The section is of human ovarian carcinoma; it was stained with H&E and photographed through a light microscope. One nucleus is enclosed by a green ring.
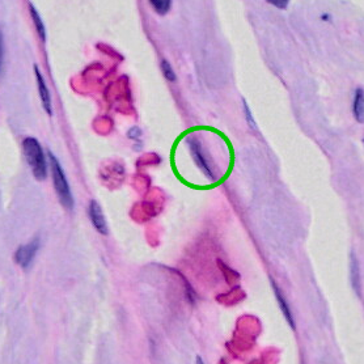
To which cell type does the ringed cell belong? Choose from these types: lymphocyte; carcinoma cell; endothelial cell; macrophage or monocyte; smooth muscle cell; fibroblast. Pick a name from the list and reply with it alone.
endothelial cell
